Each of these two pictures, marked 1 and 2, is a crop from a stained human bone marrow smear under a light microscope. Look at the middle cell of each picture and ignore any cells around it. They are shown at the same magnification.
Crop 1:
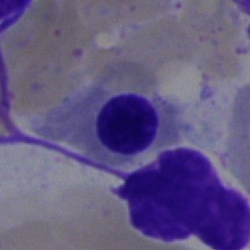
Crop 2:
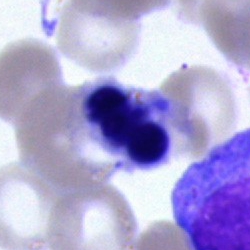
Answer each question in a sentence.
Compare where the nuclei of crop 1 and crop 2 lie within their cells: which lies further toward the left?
Seen within its cell, the nucleus in crop 2 lies further toward the left.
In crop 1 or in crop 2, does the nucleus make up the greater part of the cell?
The nucleus fills more of the cell in crop 2 than in crop 1.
